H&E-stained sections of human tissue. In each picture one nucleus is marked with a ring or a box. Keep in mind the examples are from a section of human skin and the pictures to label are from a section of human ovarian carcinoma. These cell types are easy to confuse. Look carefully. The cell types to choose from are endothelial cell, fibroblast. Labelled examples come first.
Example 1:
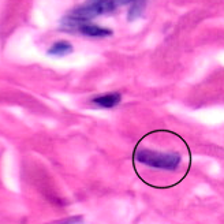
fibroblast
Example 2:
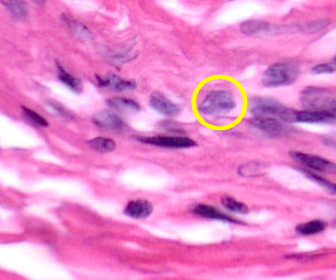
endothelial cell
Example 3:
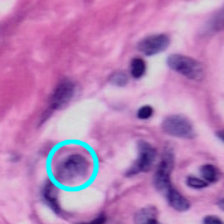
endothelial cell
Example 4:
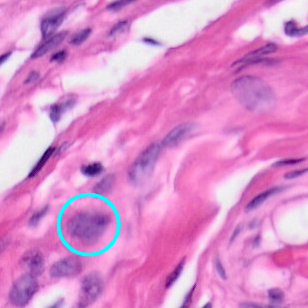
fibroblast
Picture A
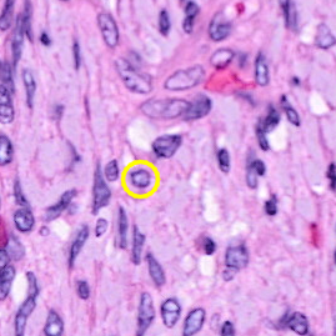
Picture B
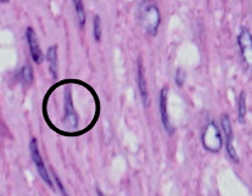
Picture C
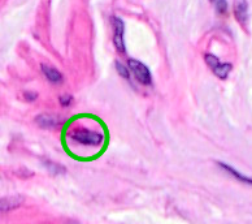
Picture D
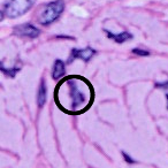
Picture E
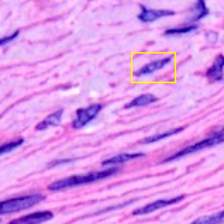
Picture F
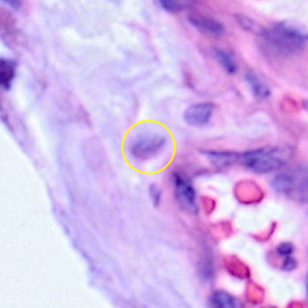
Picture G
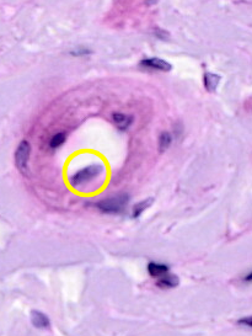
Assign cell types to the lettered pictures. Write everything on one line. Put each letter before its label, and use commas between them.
A fibroblast, B fibroblast, C endothelial cell, D fibroblast, E fibroblast, F fibroblast, G endothelial cell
